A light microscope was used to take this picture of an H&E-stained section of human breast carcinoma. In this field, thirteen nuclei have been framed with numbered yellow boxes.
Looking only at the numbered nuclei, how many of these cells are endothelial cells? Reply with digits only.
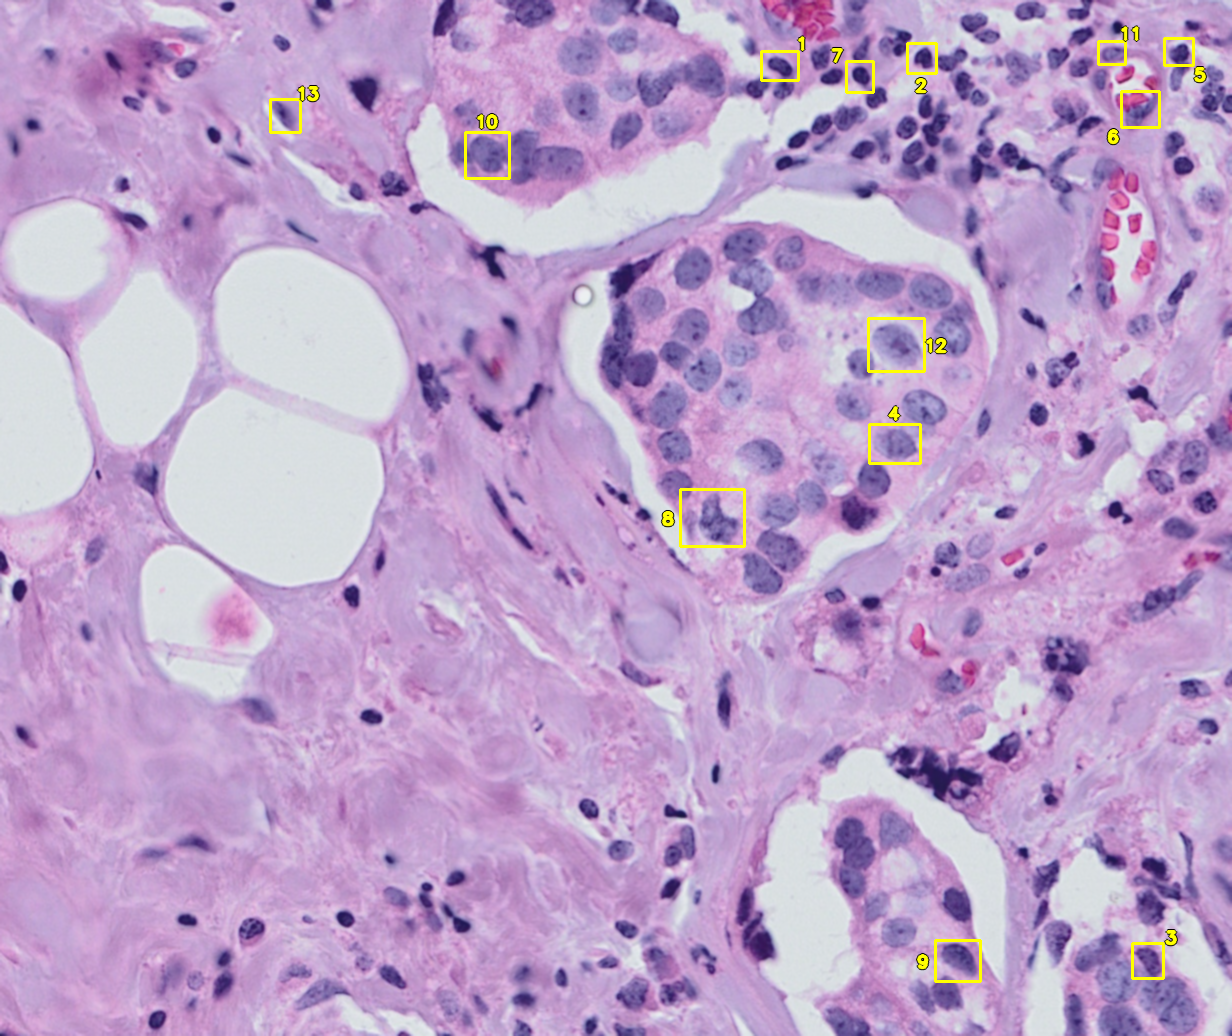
2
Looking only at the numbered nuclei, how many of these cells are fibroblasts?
1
